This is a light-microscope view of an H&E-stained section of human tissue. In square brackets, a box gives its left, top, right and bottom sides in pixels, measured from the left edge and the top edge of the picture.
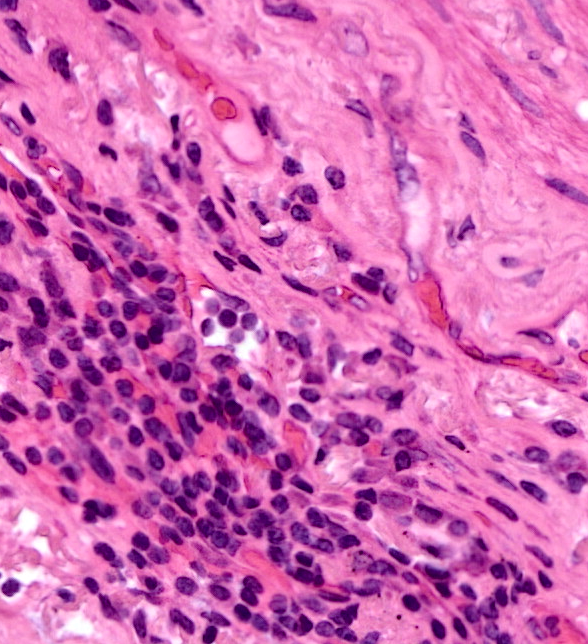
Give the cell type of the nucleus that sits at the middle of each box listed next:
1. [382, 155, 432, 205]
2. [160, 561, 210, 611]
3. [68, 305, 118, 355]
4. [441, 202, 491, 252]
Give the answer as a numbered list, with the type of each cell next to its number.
1. endothelial cell
2. lymphocyte
3. lymphocyte
4. fibroblast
